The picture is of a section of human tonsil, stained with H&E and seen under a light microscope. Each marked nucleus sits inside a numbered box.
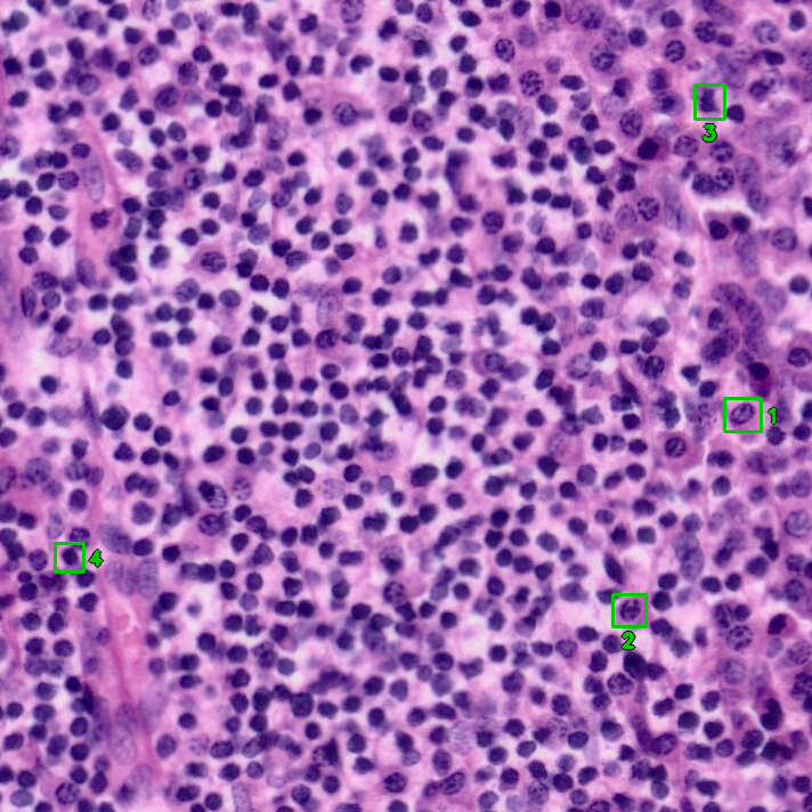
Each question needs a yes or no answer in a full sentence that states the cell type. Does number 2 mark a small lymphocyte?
No, the cell identified by number 2 is a plasma cell, not a small lymphocyte.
